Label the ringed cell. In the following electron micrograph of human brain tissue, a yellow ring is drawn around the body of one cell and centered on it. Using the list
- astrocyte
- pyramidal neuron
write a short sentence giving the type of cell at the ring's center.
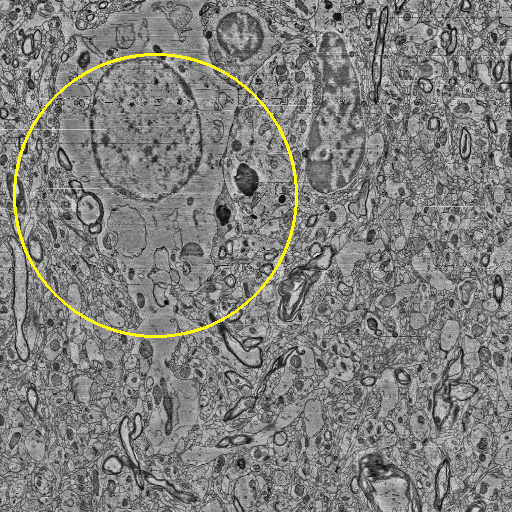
The cell body at the ring's center is that of an astrocyte.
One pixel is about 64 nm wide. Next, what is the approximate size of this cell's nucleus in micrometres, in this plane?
Roughly 9 micrometres by 7 micrometres, in this plane.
